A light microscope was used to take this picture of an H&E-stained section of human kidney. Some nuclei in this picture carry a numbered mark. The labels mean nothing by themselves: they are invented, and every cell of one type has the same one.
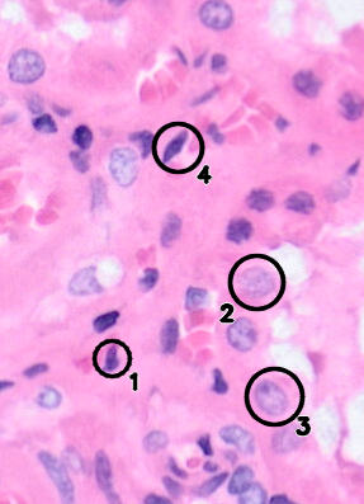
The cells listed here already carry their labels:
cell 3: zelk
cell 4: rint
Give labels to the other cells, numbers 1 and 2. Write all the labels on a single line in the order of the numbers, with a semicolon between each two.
rint; zelk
